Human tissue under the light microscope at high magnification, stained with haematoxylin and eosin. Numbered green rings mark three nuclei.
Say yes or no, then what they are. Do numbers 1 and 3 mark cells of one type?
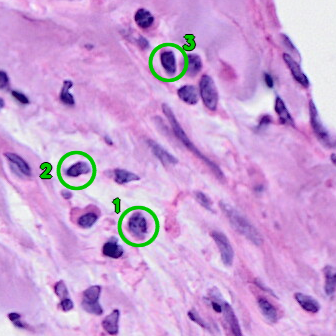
No, cell 1 is a mast cell, with cell 3 being a lymphocyte.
